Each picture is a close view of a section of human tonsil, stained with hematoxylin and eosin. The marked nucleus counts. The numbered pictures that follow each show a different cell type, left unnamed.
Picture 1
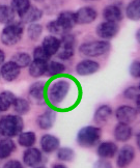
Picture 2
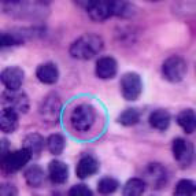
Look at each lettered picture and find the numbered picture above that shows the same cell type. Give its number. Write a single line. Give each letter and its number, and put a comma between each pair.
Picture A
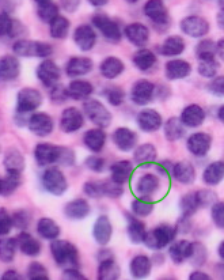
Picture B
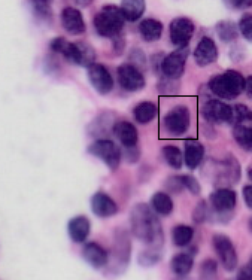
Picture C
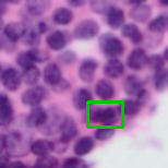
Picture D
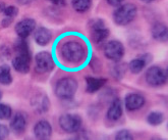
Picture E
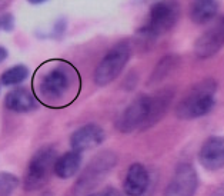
A 1, B 1, C 1, D 2, E 2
